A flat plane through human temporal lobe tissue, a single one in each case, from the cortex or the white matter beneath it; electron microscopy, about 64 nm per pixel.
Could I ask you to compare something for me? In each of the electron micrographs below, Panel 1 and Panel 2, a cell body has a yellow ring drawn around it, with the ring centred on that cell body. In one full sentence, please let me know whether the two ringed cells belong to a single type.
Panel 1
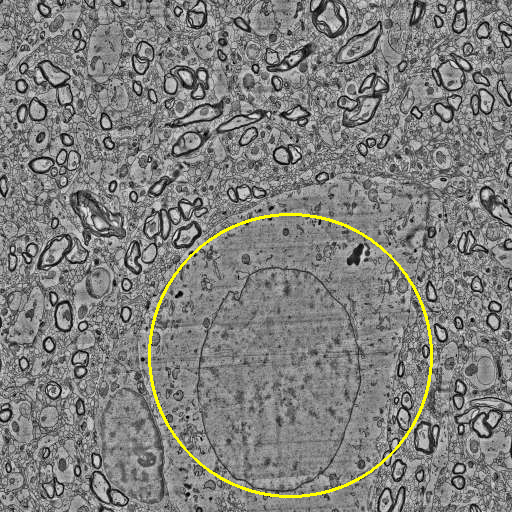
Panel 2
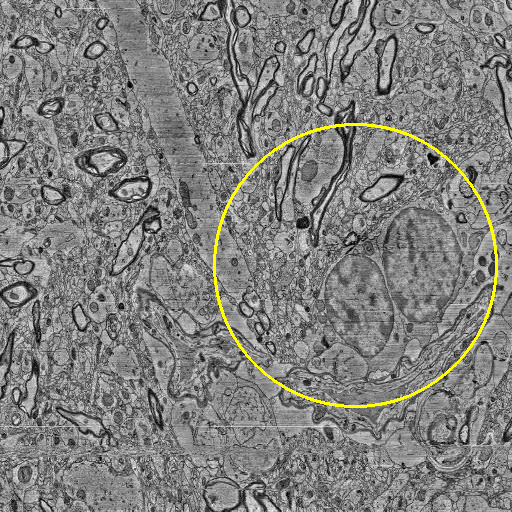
No, the two cells at the centres of the rings are of two types.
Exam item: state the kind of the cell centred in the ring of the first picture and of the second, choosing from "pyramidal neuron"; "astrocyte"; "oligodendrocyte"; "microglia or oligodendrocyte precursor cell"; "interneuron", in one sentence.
The first picture shows a pyramidal neuron at the ring centre and the second shows an oligodendrocyte.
